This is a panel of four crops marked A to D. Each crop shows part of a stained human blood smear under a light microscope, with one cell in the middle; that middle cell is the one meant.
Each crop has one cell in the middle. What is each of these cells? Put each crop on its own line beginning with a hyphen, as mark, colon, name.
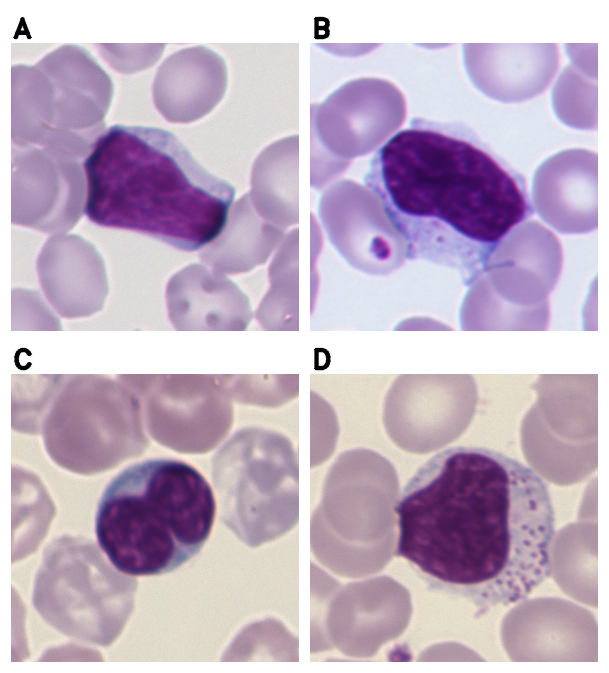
- A: typical lymphocyte
- B: large granular lymphocyte
- C: typical lymphocyte
- D: large granular lymphocyte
